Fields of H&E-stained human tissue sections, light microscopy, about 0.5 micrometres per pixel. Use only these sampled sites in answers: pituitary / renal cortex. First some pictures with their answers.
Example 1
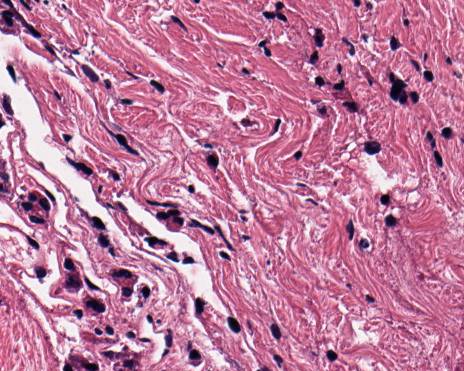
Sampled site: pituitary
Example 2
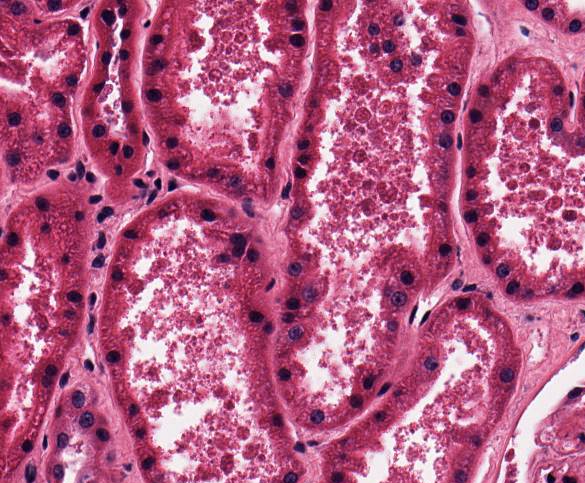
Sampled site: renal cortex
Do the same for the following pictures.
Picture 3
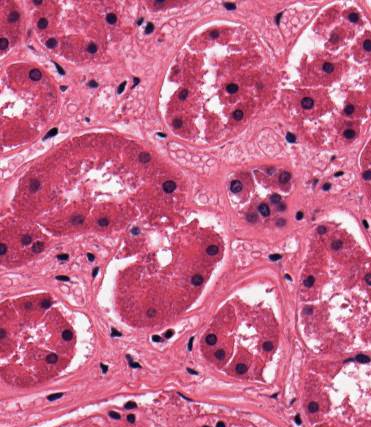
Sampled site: renal cortex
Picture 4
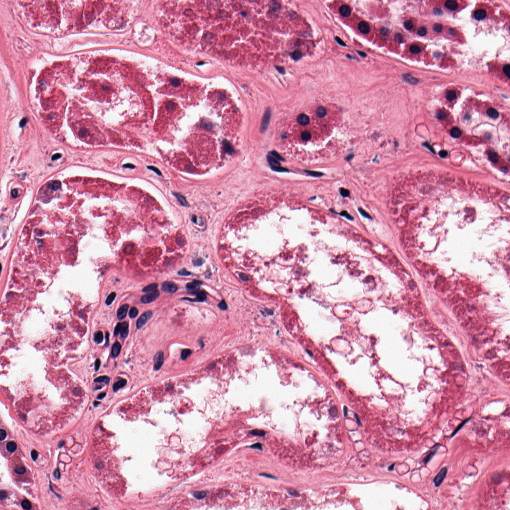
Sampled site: renal cortex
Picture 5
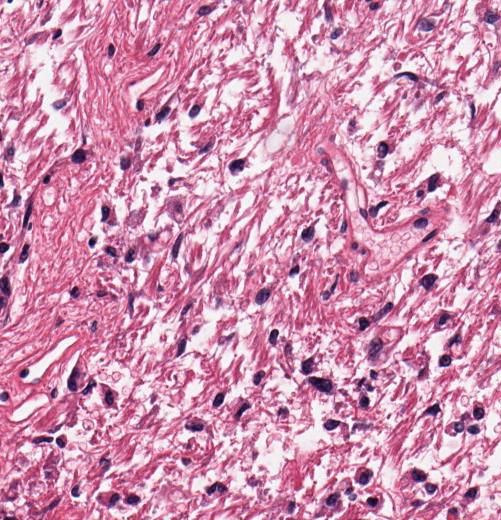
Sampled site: pituitary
